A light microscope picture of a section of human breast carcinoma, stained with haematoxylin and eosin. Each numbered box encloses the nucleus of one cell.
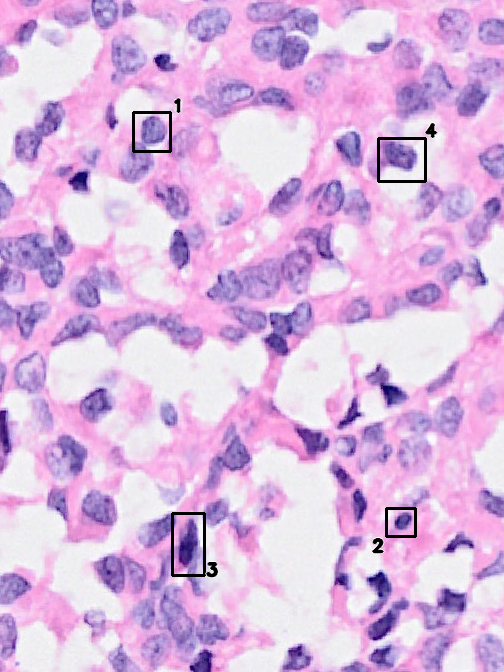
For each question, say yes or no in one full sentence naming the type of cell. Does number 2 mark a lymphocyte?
Yes, and to answer plainly, cell 2 is a lymphocyte.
